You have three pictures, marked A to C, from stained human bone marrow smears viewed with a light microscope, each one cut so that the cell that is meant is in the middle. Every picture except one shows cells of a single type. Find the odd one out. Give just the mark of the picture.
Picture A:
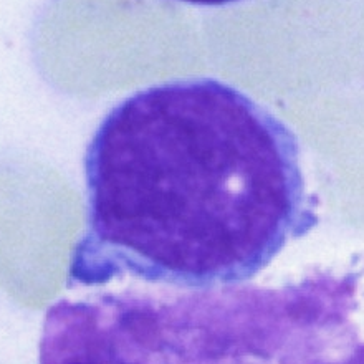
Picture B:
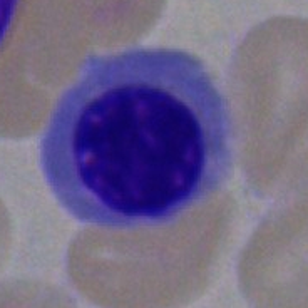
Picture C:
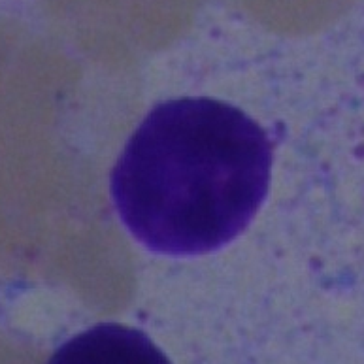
B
